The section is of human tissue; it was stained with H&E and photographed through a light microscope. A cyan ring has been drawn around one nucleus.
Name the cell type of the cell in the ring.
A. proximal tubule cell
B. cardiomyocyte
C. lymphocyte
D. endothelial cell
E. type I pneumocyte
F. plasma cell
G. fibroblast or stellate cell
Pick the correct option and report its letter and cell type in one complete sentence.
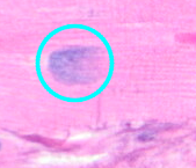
Since the cell in the ring is a cardiomyocyte, option B is correct.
